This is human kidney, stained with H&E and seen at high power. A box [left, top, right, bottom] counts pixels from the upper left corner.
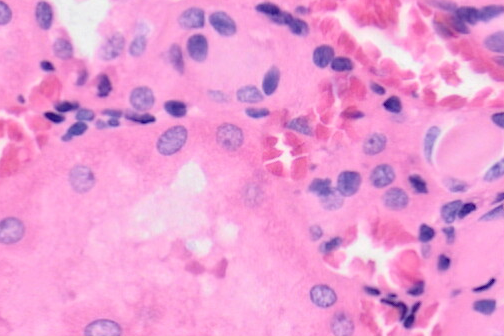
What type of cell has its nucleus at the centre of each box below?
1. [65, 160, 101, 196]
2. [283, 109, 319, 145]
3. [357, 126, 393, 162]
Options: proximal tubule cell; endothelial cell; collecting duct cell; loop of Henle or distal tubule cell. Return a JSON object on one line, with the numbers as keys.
{"1": "proximal tubule cell", "2": "endothelial cell", "3": "loop of Henle or distal tubule cell"}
